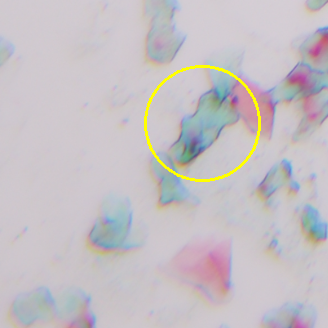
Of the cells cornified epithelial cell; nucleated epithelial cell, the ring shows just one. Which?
The ring shows a cornified epithelial cell.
